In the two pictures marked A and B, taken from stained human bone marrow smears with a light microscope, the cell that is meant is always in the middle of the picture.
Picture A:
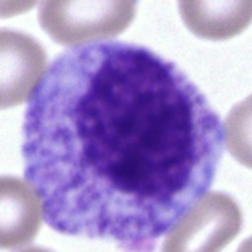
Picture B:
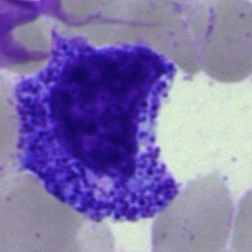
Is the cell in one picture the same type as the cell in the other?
yes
